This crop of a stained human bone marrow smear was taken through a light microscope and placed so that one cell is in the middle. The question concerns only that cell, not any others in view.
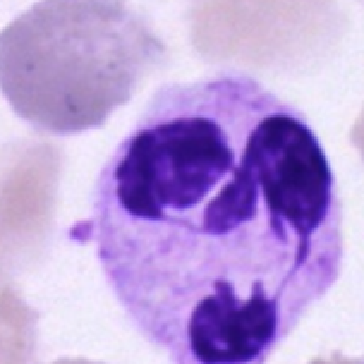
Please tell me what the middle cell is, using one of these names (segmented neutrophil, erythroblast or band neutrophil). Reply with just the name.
segmented neutrophil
